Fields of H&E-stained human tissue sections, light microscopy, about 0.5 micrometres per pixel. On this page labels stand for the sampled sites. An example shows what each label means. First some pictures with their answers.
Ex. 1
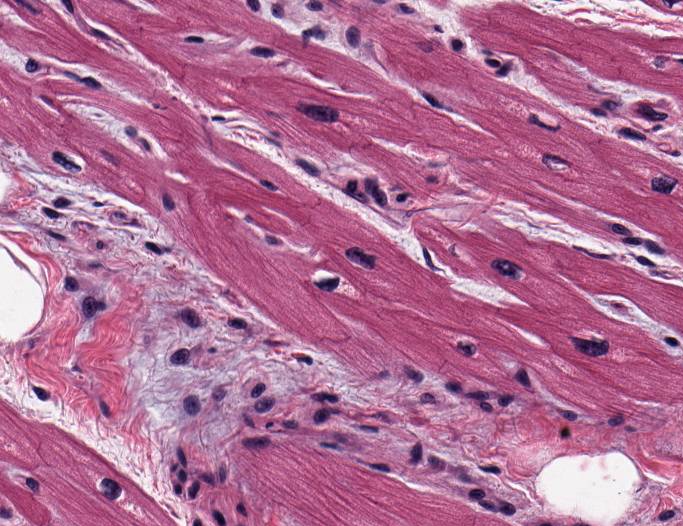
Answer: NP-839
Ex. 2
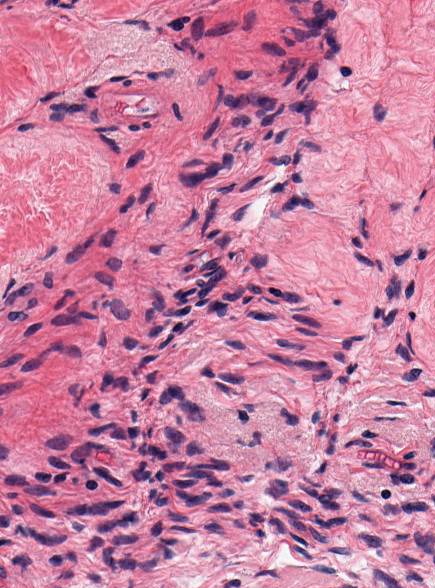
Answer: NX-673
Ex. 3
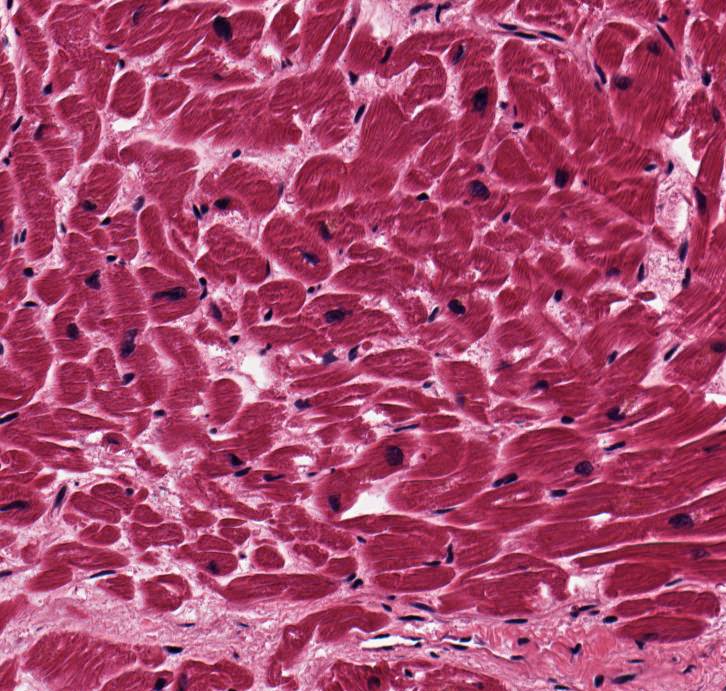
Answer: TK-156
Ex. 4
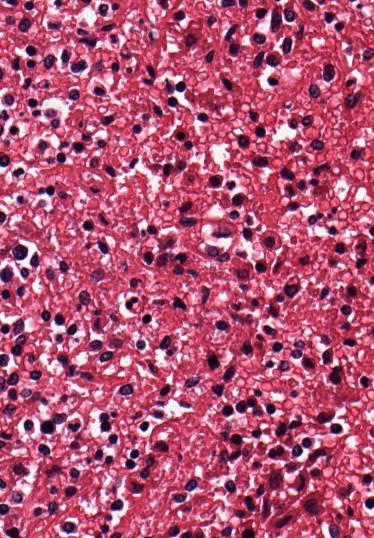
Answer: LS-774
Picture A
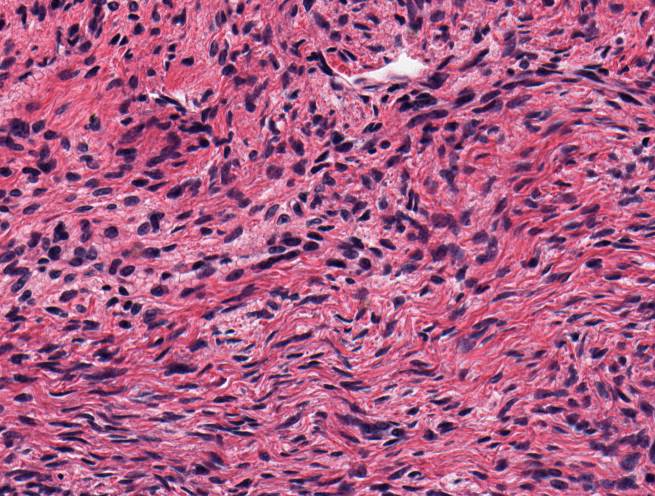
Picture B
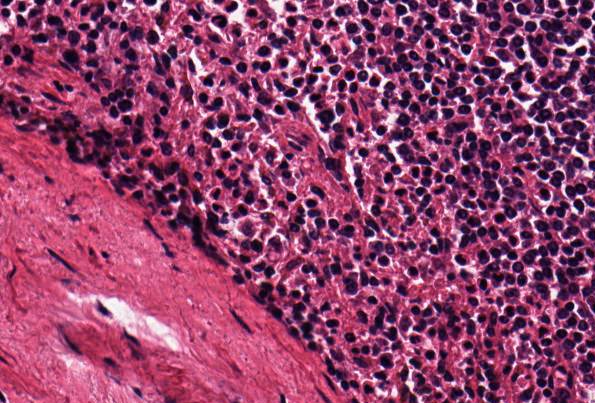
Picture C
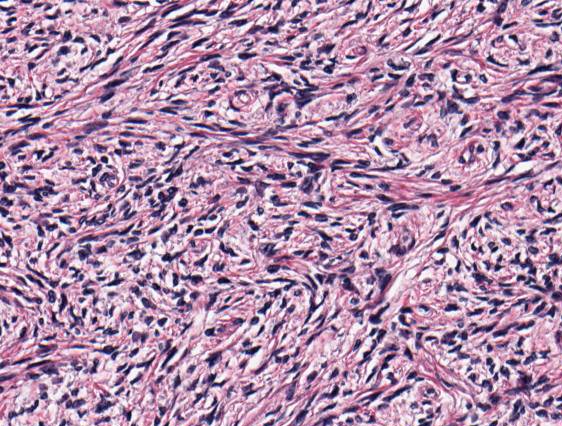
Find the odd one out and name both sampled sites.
Picture B: LS-774. All others: NX-673.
